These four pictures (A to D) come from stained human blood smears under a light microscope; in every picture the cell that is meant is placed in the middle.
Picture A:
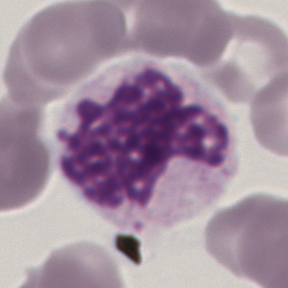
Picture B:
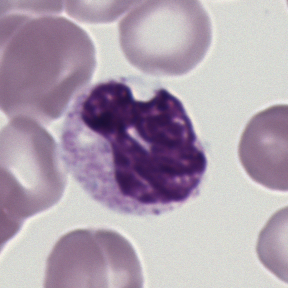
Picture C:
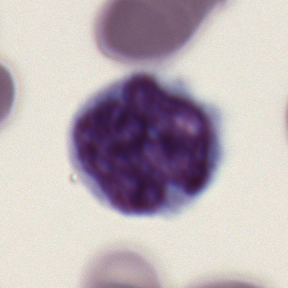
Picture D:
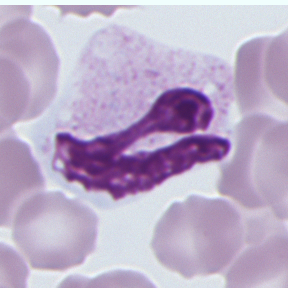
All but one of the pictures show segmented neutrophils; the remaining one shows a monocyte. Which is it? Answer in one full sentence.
It is picture C that shows the monocyte.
